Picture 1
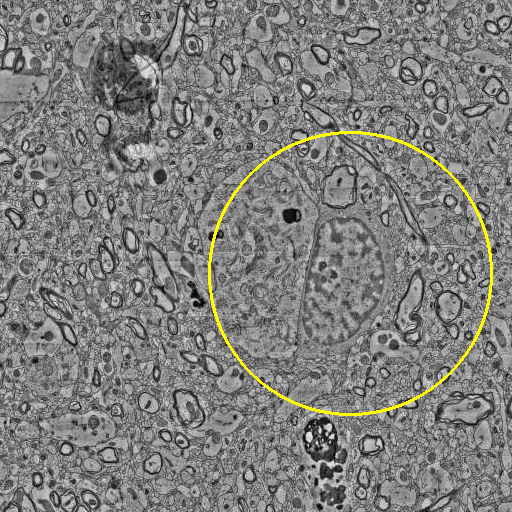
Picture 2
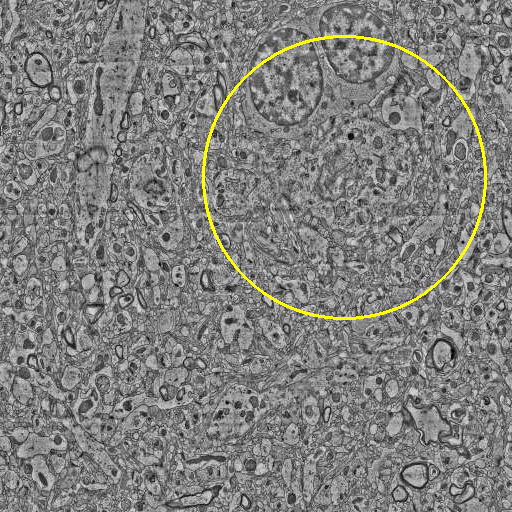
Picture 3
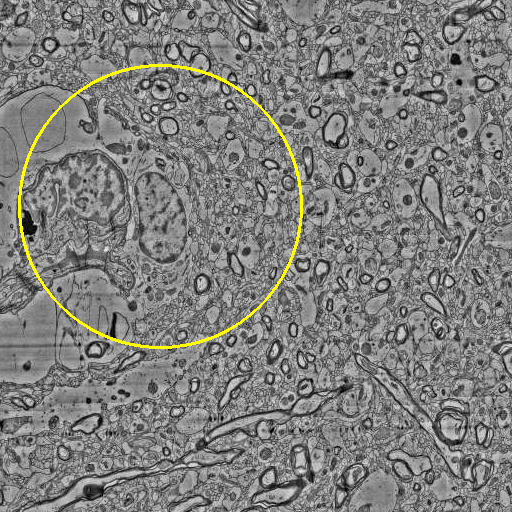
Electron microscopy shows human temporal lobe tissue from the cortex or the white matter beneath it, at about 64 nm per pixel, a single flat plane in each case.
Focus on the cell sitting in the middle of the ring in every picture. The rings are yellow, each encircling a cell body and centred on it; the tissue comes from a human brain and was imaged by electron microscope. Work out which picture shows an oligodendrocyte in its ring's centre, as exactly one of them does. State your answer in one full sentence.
In picture 1, the ring is centred on the cell in question.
